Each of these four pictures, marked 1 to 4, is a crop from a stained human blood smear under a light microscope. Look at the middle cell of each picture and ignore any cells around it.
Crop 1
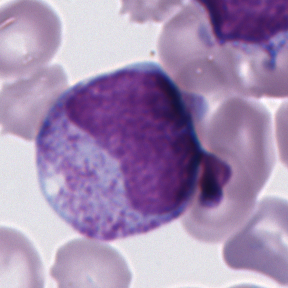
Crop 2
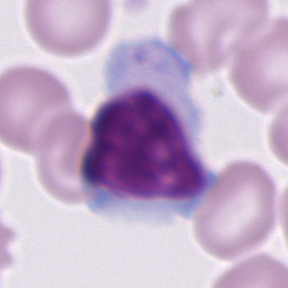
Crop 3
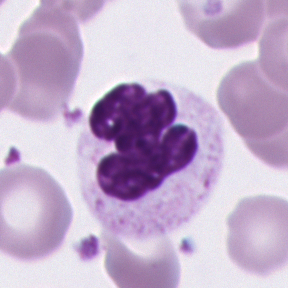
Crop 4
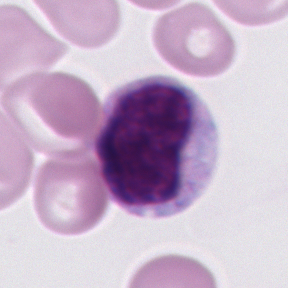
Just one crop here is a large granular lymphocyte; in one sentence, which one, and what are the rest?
On the one hand crop 2 shows a large granular lymphocyte; on the other, crop 1 is a myelocyte, crop 3 is a segmented neutrophil and crop 4 is a metamyelocyte.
